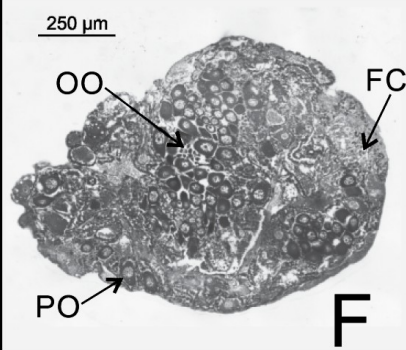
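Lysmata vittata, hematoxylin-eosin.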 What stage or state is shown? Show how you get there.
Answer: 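Spent ovary portion. No large pale oocytes are present. The section is mostly small dark oocytes scattered in a loose, irregular tissue. The tissue outline is lobed and irregular.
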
